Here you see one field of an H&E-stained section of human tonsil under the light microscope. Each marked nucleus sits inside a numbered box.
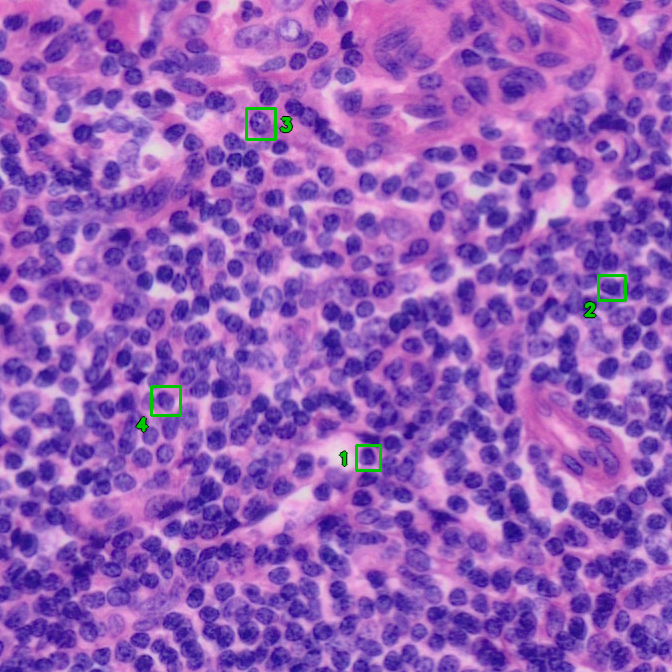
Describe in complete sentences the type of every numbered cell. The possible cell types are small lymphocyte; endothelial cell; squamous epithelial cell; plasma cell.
Cell 1 is a small lymphocyte, cell 2 is a small lymphocyte, cell 3 is a plasma cell and cell 4 is a small lymphocyte.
